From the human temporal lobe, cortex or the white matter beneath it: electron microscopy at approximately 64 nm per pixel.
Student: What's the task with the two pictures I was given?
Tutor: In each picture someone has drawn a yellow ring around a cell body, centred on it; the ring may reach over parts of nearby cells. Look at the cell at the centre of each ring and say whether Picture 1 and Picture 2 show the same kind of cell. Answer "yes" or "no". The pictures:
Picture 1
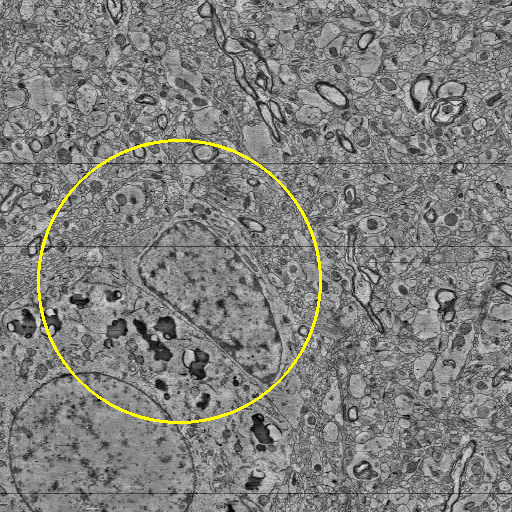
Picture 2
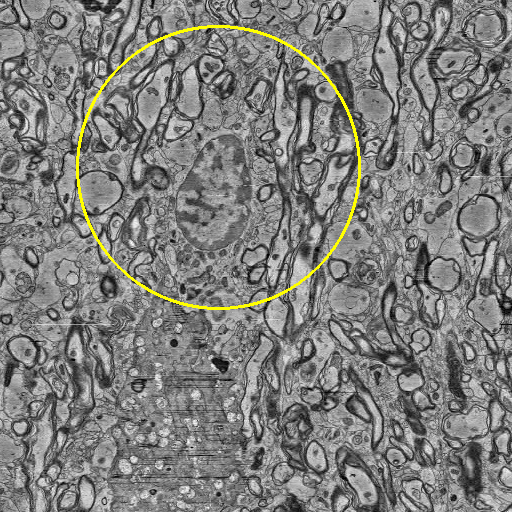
yes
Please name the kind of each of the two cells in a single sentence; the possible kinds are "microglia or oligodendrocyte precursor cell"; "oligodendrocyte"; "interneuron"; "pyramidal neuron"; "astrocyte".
In both pictures the ring is centred on a microglial cell or oligodendrocyte precursor cell.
